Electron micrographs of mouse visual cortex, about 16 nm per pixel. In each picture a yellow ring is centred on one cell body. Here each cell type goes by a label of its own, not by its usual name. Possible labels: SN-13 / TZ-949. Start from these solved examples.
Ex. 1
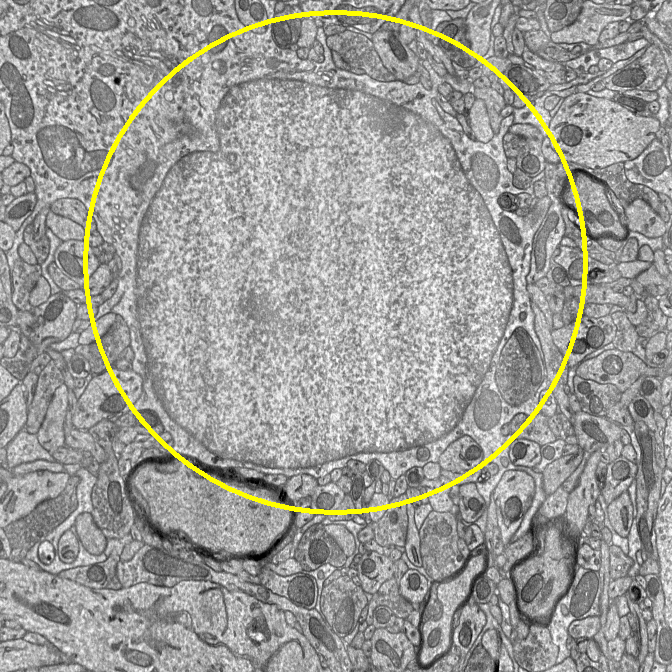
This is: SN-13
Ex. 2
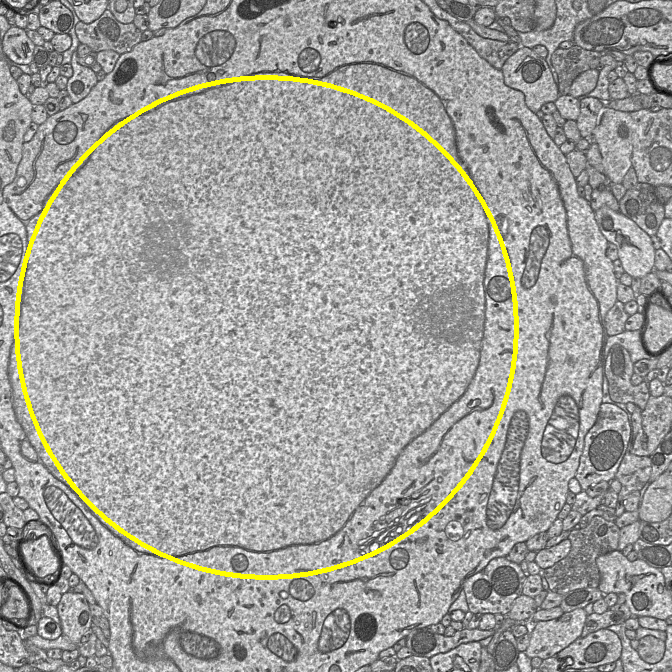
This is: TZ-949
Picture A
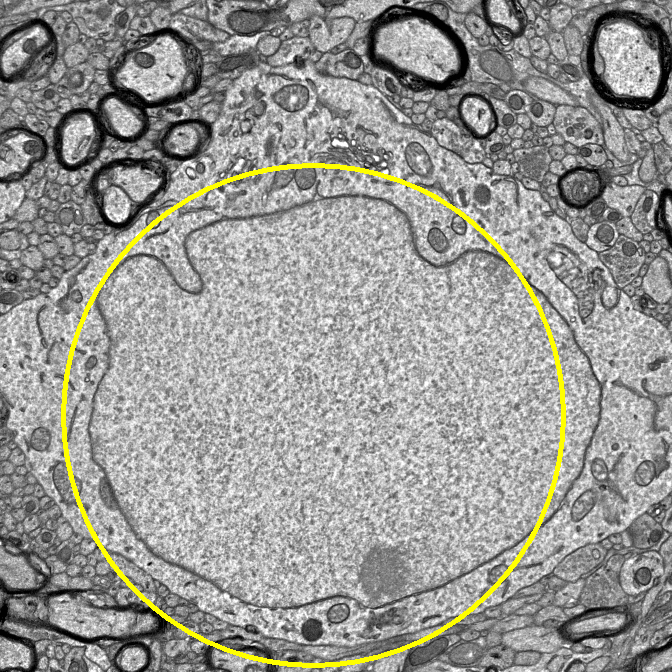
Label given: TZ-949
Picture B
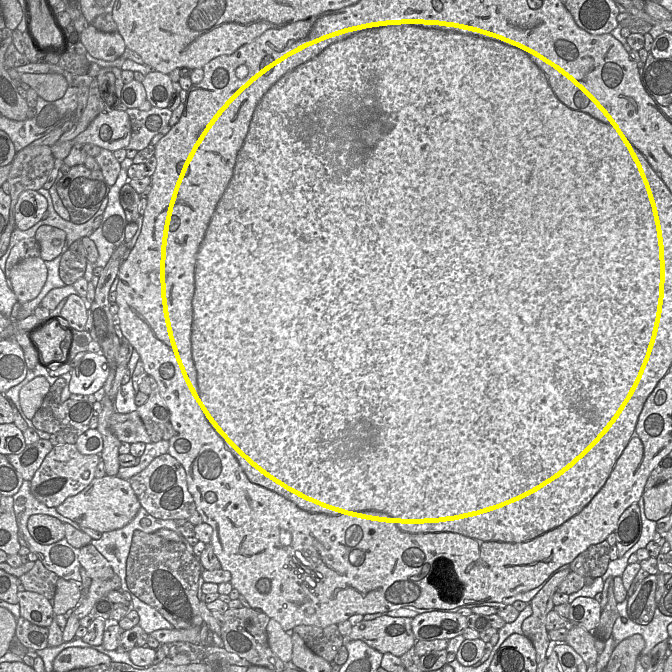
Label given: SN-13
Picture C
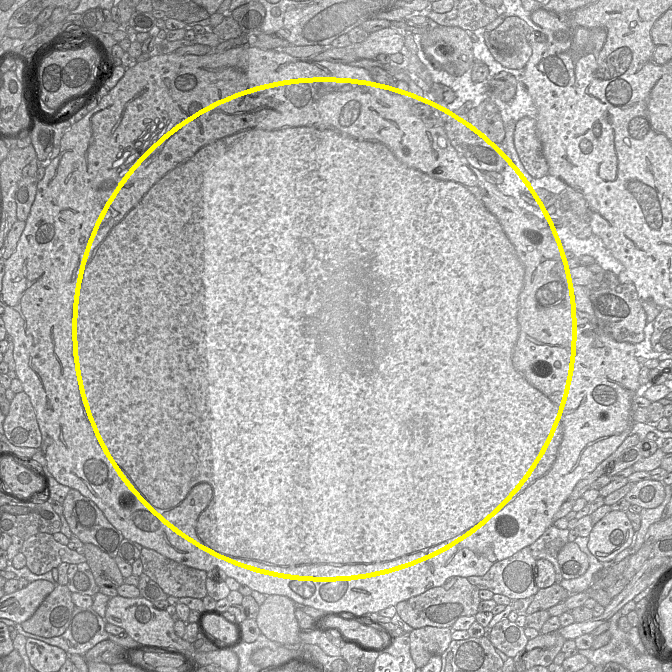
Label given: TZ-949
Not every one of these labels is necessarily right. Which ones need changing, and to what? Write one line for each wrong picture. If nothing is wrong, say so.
Wrong: B (SN-13); correct: TZ-949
